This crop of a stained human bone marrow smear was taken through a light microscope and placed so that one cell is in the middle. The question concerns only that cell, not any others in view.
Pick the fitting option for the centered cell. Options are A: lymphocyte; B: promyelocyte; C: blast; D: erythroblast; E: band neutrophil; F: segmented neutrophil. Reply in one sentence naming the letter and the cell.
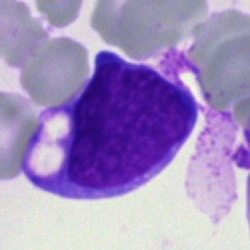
The cell in the middle is a blast, and so option C is correct.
